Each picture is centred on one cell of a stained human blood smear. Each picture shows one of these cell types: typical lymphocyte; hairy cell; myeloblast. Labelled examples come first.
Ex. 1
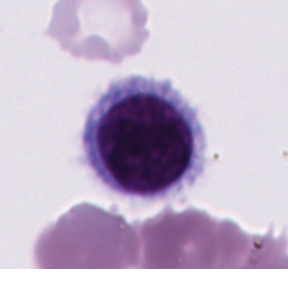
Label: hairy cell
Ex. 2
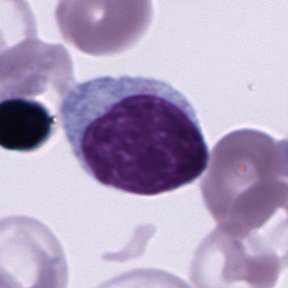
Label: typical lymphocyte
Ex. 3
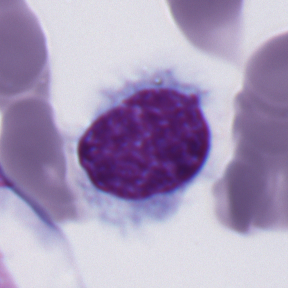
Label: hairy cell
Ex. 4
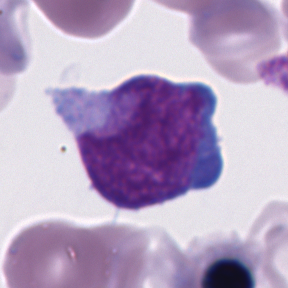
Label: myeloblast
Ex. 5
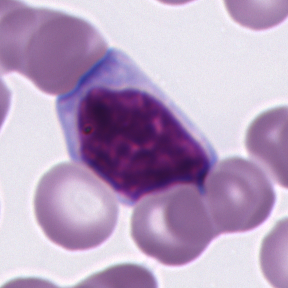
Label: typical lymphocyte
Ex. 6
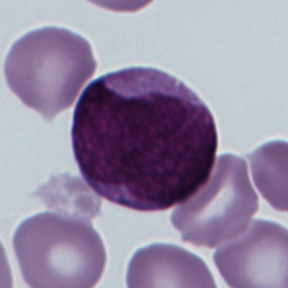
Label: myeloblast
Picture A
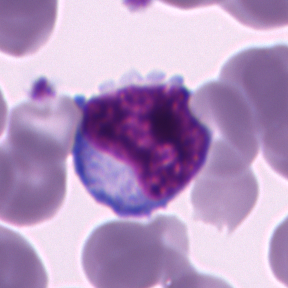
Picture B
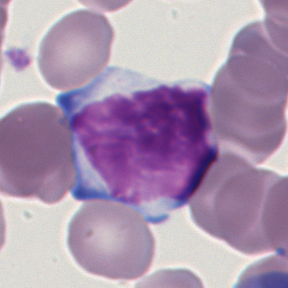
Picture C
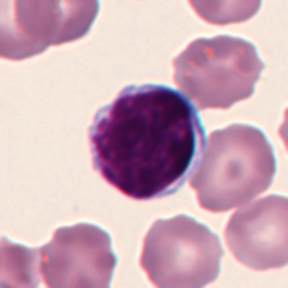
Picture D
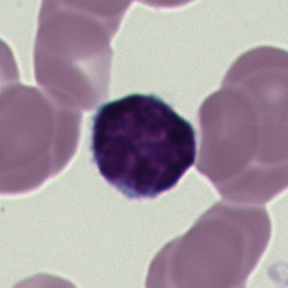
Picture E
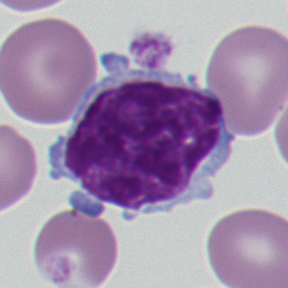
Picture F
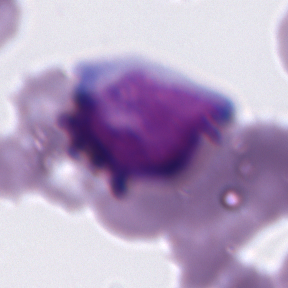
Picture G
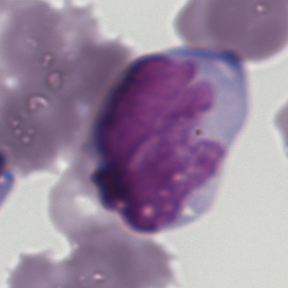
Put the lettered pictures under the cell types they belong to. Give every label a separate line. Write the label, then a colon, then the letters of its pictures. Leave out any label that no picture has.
typical lymphocyte: A, C, D, E
myeloblast: B, F, G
